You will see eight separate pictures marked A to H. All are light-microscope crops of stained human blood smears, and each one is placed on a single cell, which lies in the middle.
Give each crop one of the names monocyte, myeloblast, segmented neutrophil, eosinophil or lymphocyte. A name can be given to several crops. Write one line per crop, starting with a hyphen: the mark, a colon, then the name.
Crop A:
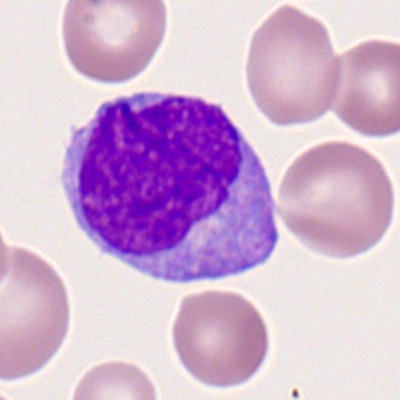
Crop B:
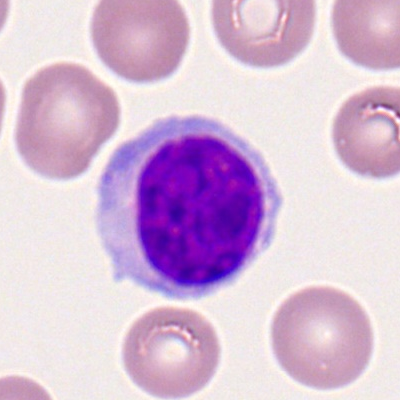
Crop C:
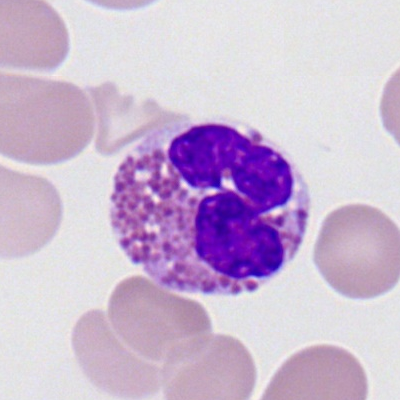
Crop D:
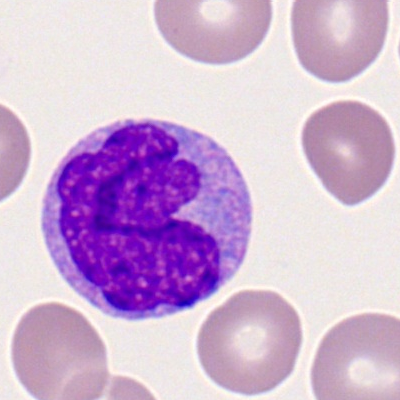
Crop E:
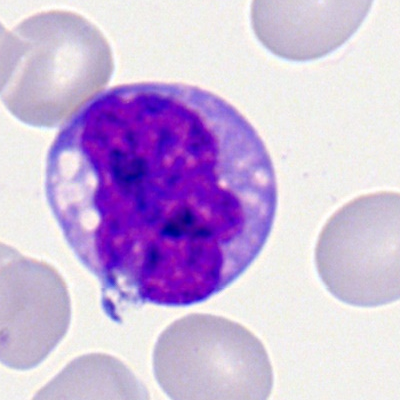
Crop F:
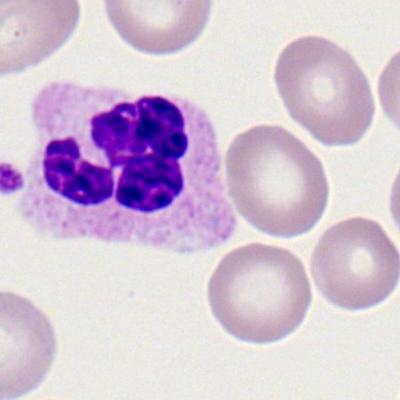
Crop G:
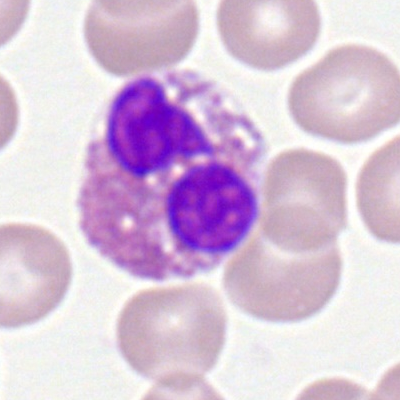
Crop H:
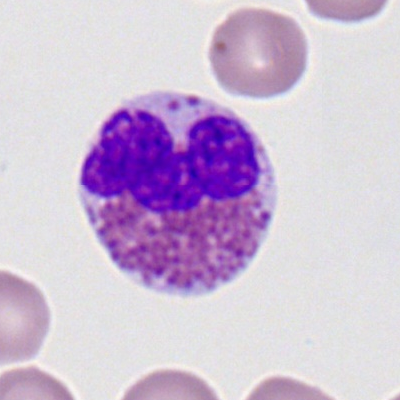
- A: monocyte
- B: lymphocyte
- C: eosinophil
- D: monocyte
- E: monocyte
- F: segmented neutrophil
- G: eosinophil
- H: eosinophil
